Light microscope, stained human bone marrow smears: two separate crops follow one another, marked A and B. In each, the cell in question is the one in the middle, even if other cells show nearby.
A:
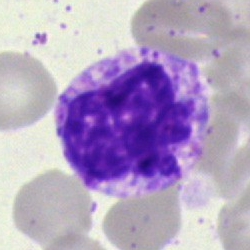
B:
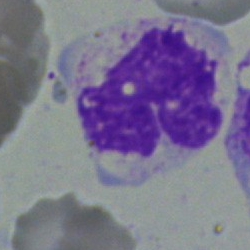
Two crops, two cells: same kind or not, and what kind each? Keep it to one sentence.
No, the cells are a basophil in crop A and a neutrophil in crop B.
